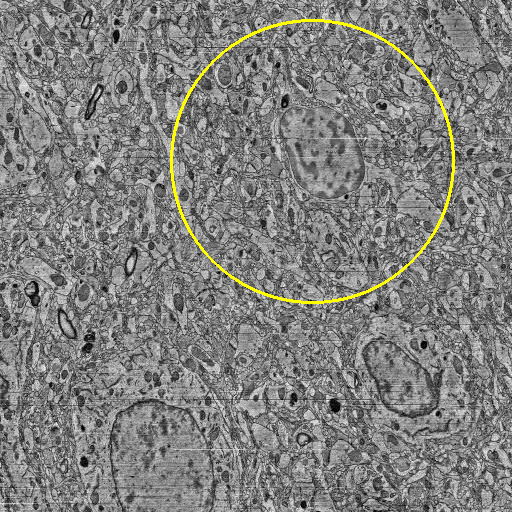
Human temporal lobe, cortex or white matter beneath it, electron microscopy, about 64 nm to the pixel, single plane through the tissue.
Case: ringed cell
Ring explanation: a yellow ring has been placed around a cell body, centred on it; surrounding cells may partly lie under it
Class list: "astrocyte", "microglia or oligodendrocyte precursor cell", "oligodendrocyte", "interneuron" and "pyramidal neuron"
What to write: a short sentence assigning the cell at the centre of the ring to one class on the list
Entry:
The cell at the ring's centre is a microglial cell or oligodendrocyte precursor cell.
